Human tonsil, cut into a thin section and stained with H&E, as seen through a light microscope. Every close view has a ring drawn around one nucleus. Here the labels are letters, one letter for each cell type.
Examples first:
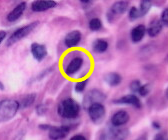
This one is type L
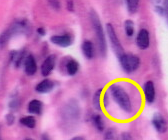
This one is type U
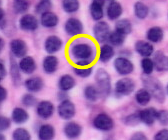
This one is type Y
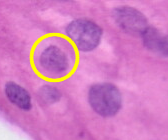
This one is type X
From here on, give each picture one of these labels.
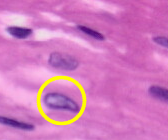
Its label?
type X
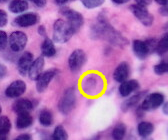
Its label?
type U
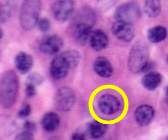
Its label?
type L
